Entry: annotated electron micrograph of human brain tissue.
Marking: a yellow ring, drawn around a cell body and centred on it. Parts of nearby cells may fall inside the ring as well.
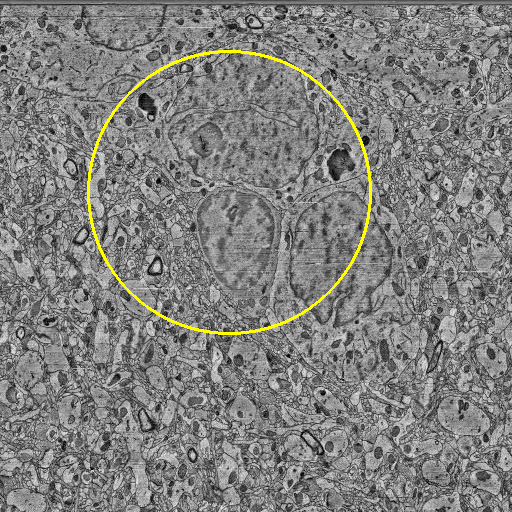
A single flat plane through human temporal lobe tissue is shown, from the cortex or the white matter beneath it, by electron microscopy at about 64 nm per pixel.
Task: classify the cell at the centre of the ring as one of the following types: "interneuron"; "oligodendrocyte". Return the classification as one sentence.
The marked cell is classified as an oligodendrocyte.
